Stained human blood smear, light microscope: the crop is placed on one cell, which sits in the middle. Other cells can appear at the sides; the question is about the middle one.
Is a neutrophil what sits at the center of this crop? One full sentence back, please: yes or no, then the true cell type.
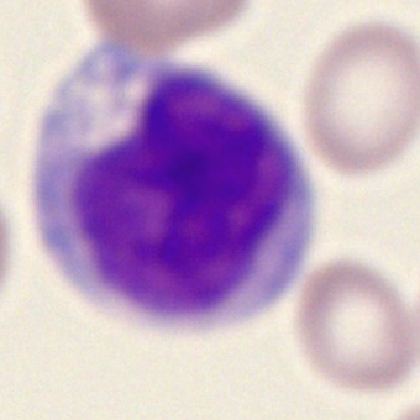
No, the centre cell counts as a monocyte, not as a neutrophil.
